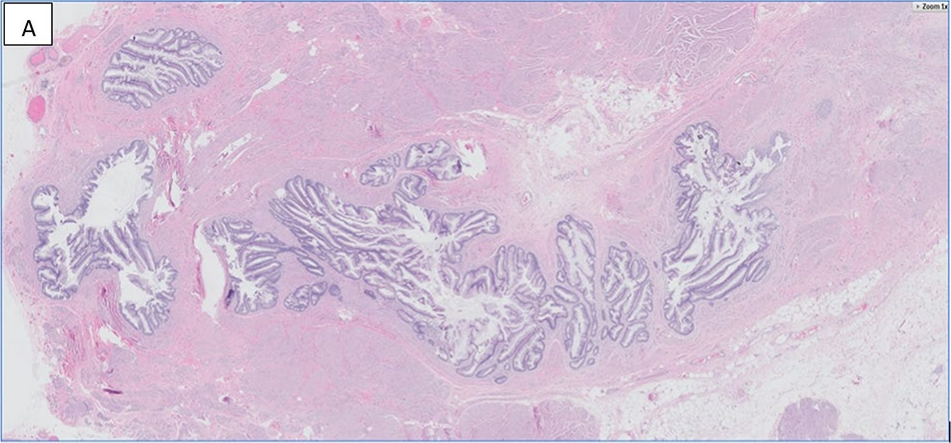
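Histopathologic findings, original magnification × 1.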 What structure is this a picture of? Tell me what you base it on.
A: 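Multiloculated cystic proliferation. Several separate cyst-like spaces lie within pink fibromuscular stroma. Each space is filled with branching, finger-like epithelial folds.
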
